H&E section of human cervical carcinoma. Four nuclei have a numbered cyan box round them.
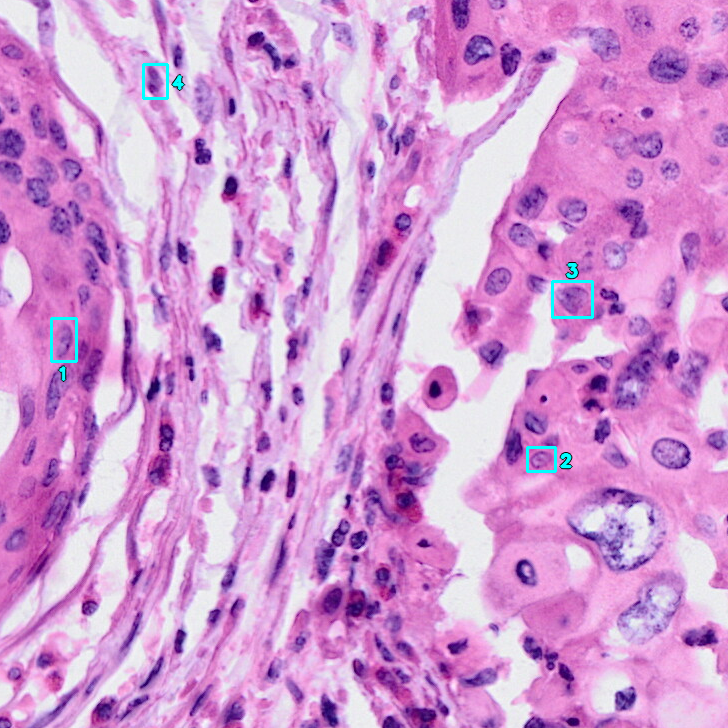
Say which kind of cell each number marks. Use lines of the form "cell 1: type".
cell 1: squamous carcinoma cell
cell 2: squamous carcinoma cell
cell 3: squamous carcinoma cell
cell 4: fibroblast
